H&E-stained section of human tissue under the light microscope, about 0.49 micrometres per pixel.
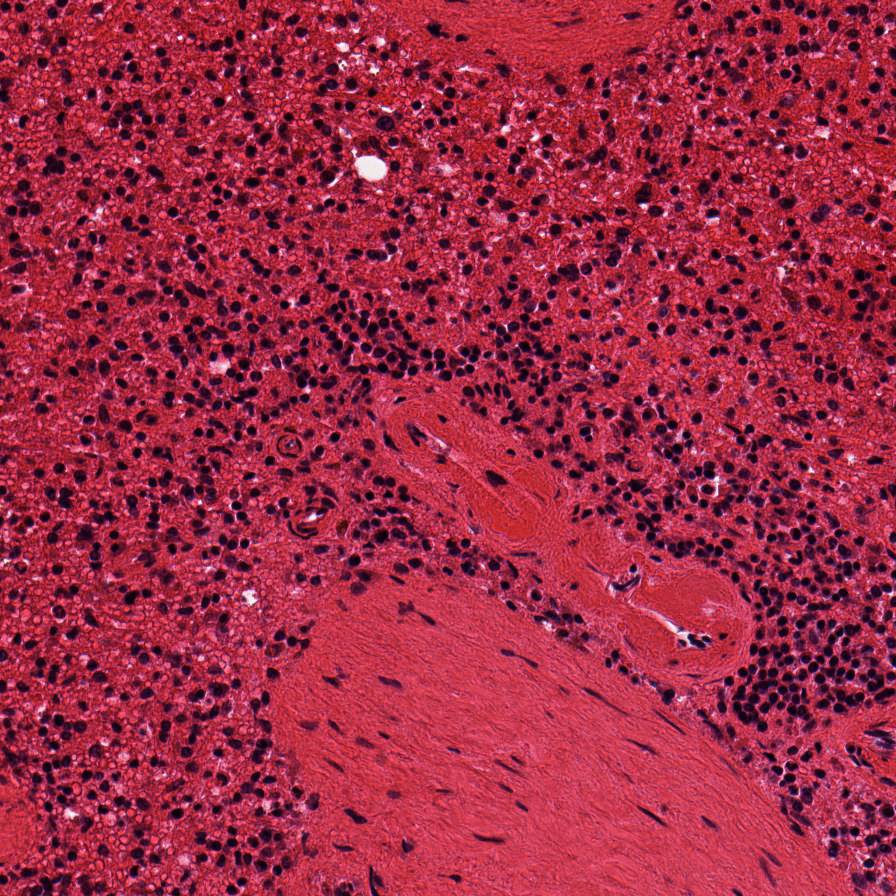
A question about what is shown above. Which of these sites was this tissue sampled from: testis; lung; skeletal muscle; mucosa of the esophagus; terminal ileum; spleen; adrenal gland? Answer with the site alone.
spleen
